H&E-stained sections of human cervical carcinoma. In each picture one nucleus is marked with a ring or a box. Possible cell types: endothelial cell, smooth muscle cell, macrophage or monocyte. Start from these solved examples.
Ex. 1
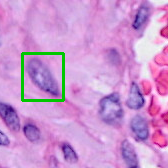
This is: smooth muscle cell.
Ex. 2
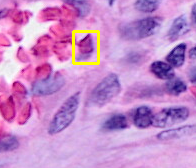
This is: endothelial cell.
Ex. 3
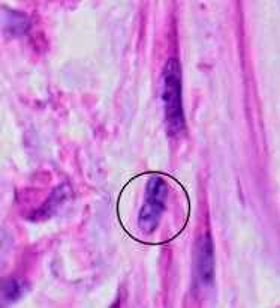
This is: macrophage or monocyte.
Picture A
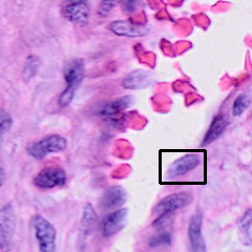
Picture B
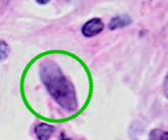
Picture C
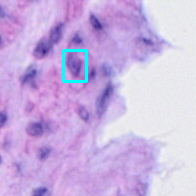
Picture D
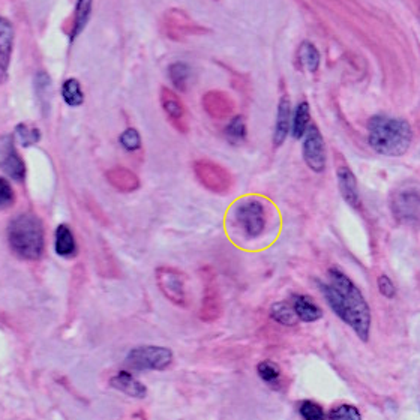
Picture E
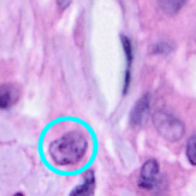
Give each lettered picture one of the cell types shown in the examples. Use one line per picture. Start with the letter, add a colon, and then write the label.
A: endothelial cell.
B: macrophage or monocyte.
C: smooth muscle cell.
D: macrophage or monocyte.
E: macrophage or monocyte.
